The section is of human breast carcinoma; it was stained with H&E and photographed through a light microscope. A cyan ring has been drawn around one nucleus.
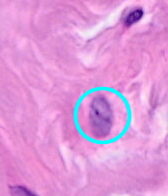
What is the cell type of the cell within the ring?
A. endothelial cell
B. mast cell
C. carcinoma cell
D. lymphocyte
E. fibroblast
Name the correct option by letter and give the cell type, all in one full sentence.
Option E gets it right, as the cell within the ring is a fibroblast.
